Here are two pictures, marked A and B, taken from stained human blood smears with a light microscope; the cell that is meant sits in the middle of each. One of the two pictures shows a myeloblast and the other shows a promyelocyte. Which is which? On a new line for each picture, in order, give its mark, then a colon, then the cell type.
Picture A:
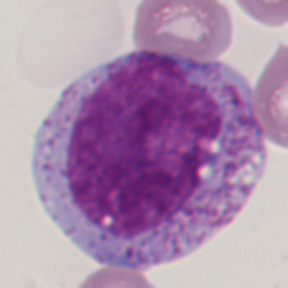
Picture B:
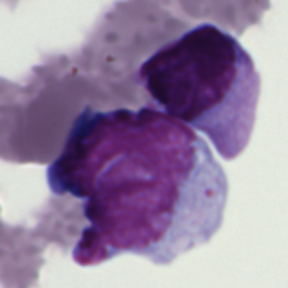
A: promyelocyte
B: myeloblast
